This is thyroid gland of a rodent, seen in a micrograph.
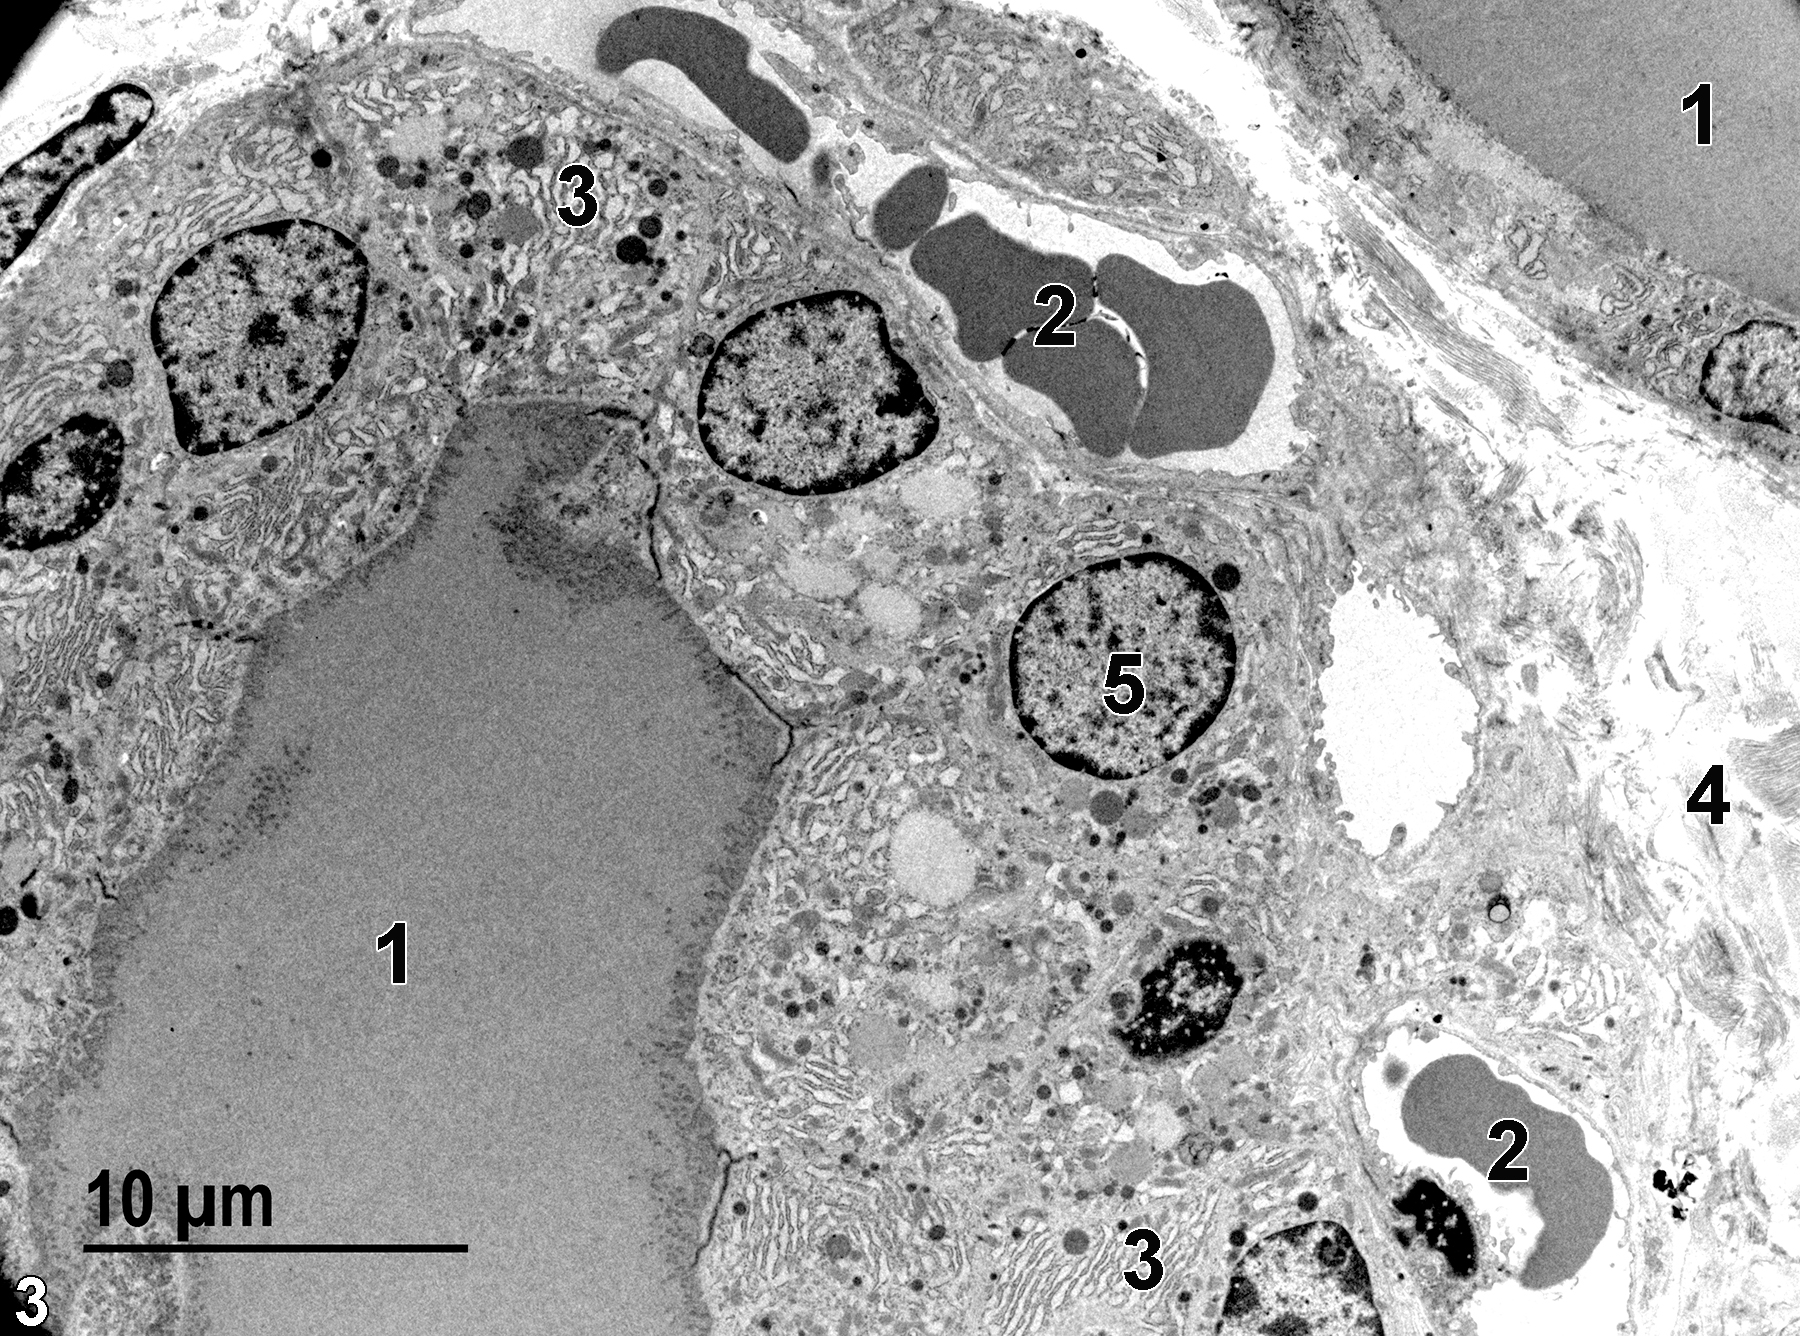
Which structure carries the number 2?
capillaries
